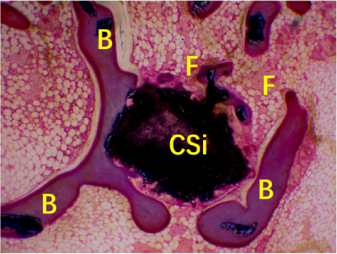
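Broad curved bands of dense tissue stained deep red-purple wrap around the granule and reach close to its surface. Between these bands the space is filled with many small, clear, rounded spaces packed together, giving a bubbly, honeycomb look. Thin strands of pinker, looser tissue lie next to the granule's upper edge.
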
